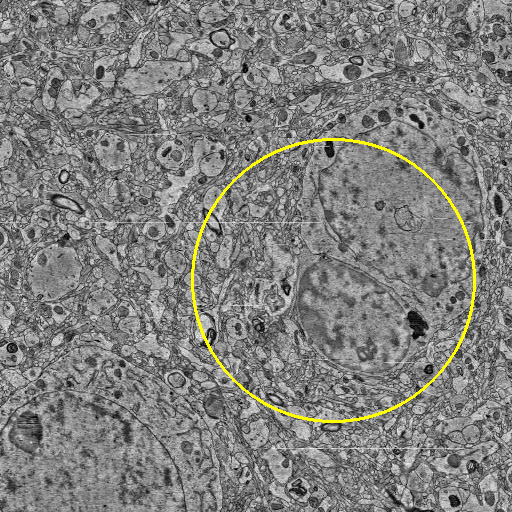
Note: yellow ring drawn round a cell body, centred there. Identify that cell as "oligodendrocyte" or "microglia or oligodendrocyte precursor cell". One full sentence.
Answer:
The cell in the middle of the ring is an oligodendrocyte.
